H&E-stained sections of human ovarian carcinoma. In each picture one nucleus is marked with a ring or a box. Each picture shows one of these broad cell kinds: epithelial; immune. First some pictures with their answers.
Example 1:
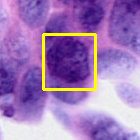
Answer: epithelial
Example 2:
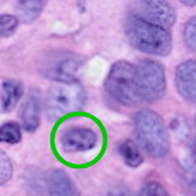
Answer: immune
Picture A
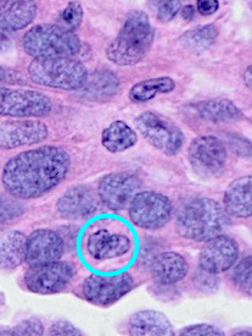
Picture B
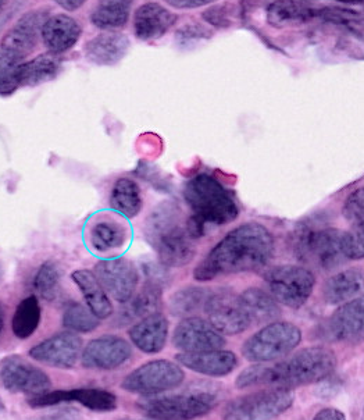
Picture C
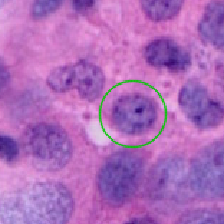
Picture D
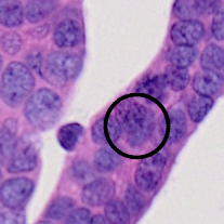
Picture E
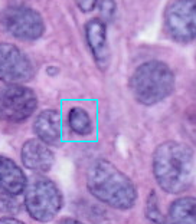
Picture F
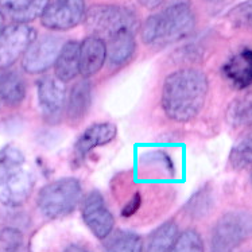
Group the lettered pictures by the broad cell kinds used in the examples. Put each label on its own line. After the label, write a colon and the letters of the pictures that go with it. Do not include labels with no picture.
epithelial: D
immune: A, B, C, E, F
